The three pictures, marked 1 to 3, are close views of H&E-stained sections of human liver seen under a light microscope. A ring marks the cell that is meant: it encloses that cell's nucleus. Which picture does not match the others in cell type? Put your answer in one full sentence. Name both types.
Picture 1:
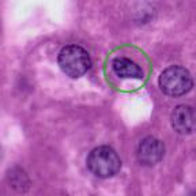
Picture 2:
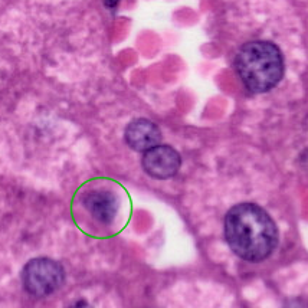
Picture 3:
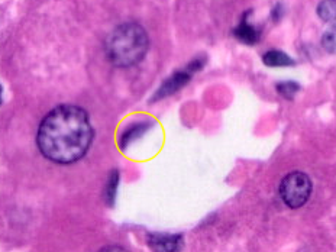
The others show “fibroblasts or stellate cells”, but picture 2 shows an endothelial cell.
